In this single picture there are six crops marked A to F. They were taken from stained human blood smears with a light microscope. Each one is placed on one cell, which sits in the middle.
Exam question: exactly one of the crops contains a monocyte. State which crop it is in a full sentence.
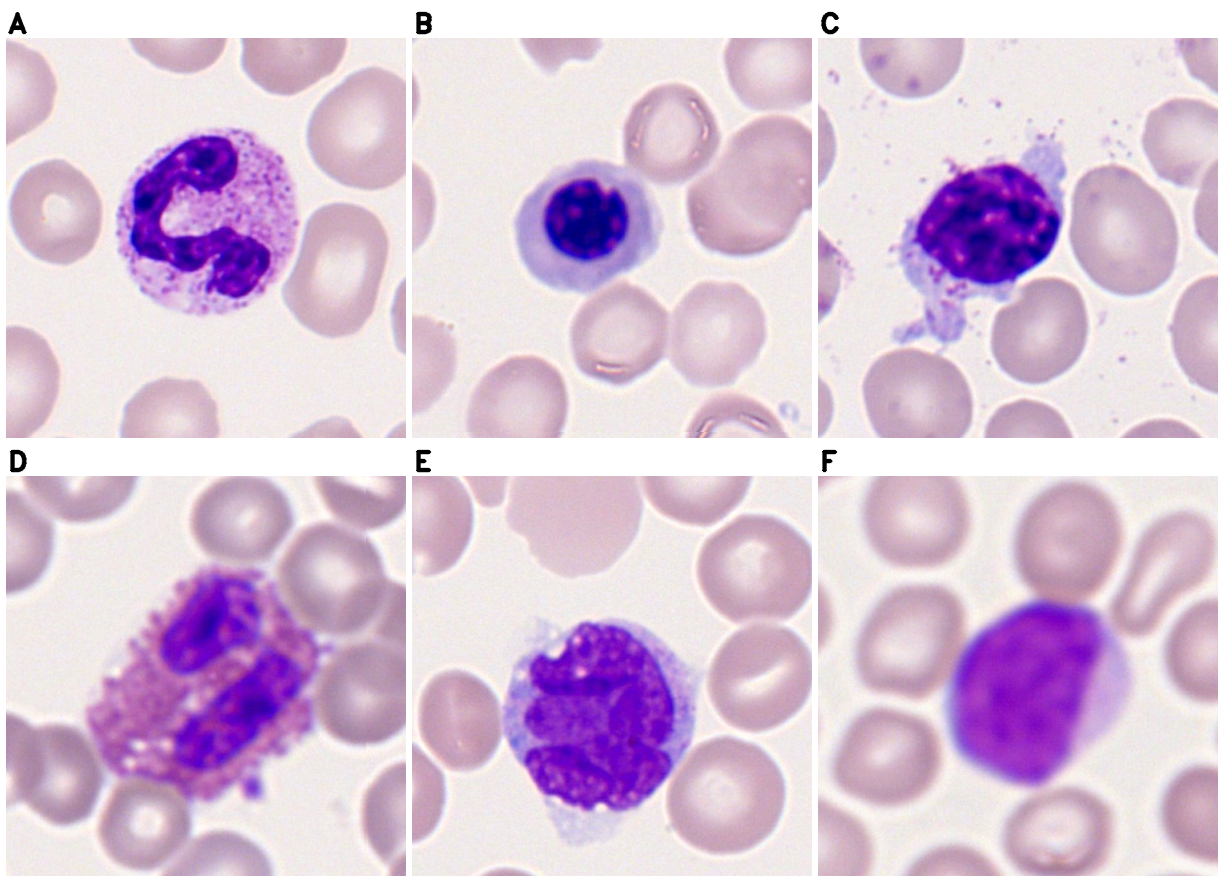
In this set, crop E is the one showing a monocyte.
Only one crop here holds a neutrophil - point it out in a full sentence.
Crop A is the crop featuring a neutrophil at its center.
